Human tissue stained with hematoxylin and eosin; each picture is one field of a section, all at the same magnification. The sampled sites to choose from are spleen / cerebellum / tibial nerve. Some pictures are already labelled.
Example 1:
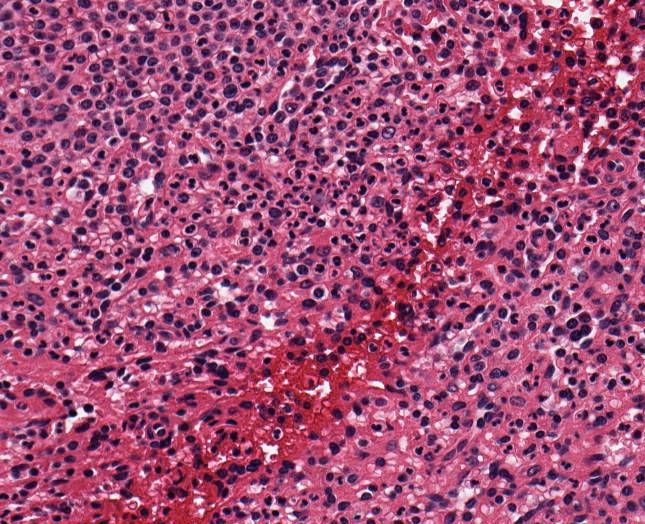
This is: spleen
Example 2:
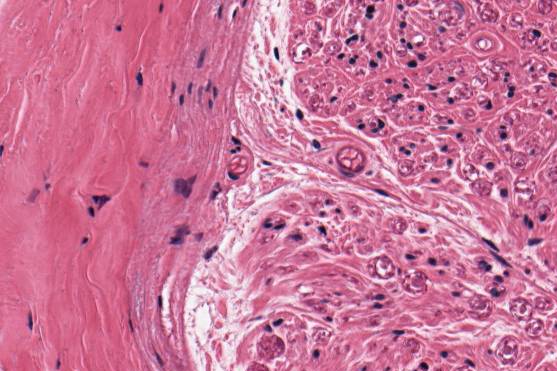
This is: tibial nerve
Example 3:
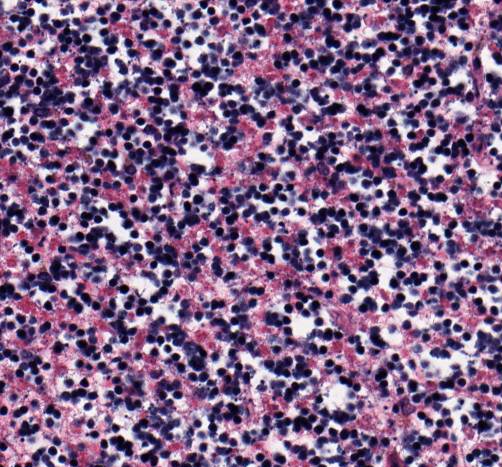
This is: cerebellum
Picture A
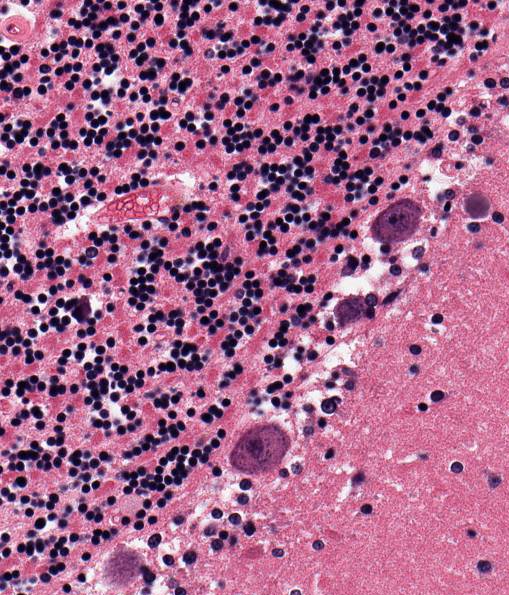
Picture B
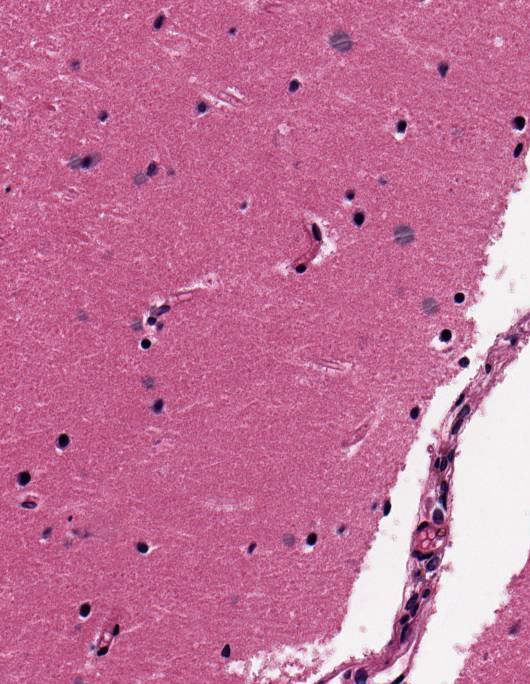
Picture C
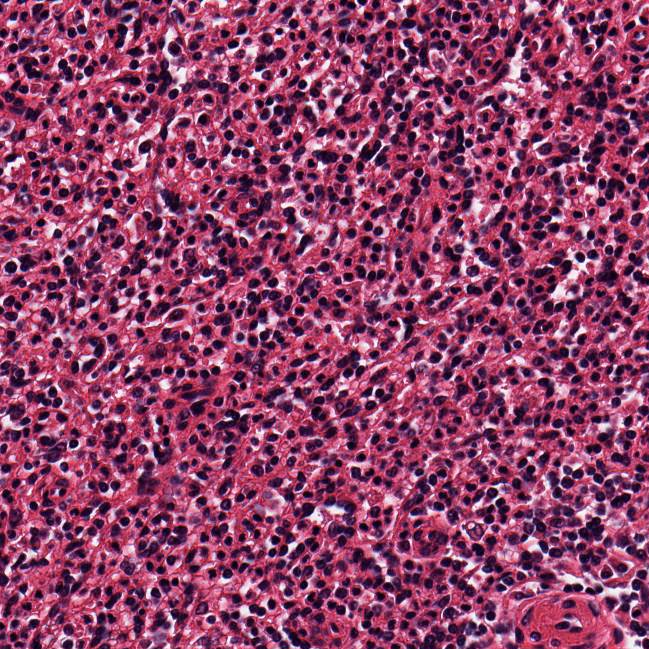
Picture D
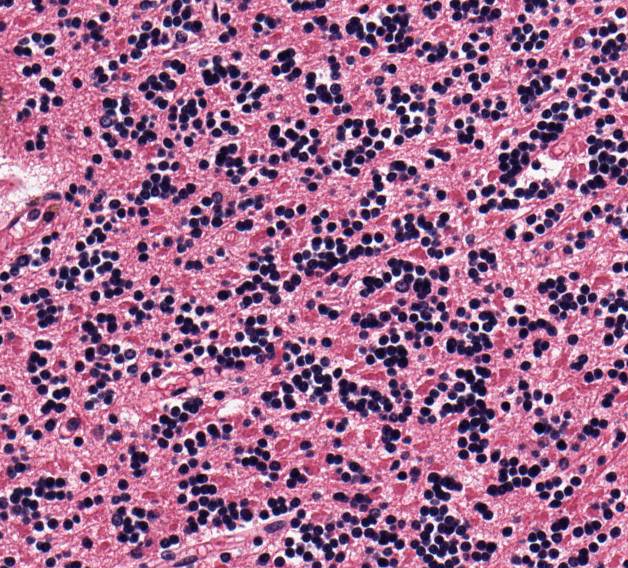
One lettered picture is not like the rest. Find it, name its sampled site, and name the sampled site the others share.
C differs and shows spleen; the others show cerebellum.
